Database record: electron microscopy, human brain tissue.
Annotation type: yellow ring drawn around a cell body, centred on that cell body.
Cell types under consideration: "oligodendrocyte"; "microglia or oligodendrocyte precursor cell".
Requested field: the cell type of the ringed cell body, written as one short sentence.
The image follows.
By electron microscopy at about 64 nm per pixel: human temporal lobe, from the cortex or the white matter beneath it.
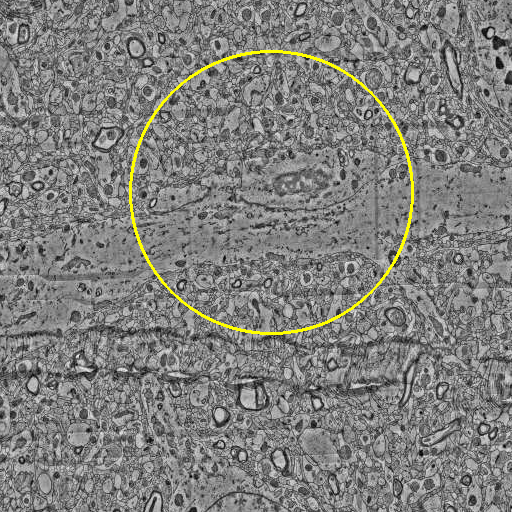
The ringed cell body represents a microglial cell or oligodendrocyte precursor cell.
